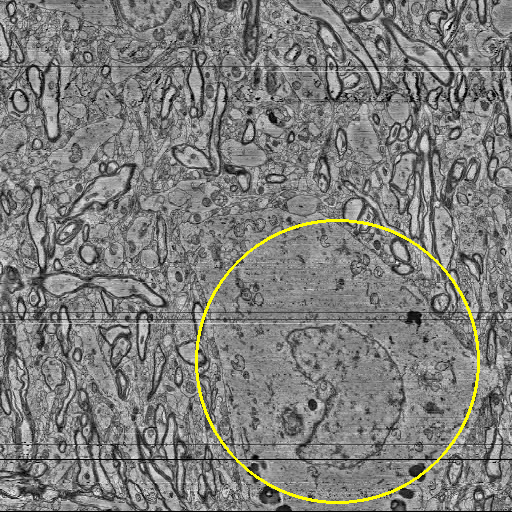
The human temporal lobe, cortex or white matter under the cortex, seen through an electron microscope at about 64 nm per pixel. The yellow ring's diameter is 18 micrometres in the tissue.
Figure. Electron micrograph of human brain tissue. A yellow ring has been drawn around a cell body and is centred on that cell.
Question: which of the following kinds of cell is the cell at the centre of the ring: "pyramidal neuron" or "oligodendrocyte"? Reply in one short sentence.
The cell at the centre of the ring is a pyramidal neuron.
